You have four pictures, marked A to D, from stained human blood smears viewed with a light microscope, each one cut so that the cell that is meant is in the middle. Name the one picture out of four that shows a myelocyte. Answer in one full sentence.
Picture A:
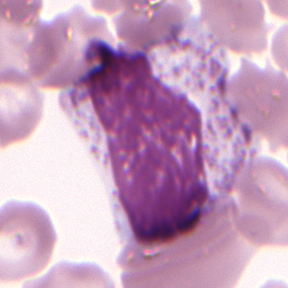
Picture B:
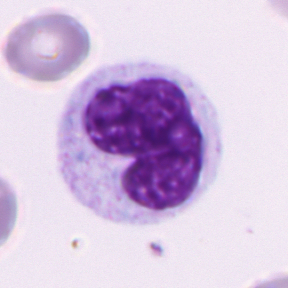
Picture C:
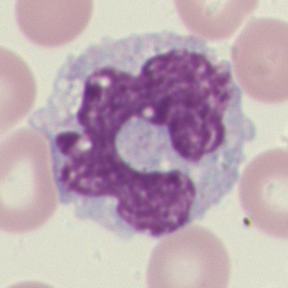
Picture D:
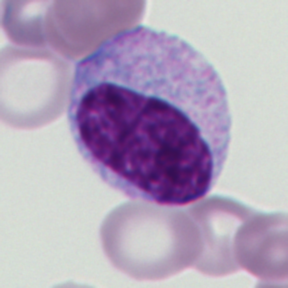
The myelocyte is the one in picture A.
